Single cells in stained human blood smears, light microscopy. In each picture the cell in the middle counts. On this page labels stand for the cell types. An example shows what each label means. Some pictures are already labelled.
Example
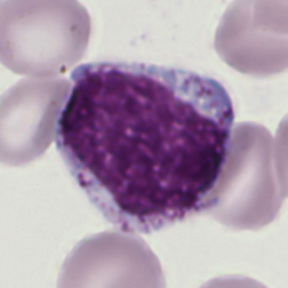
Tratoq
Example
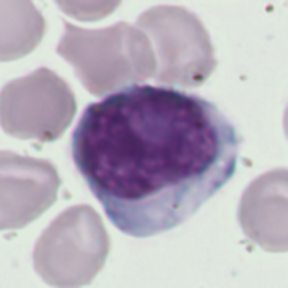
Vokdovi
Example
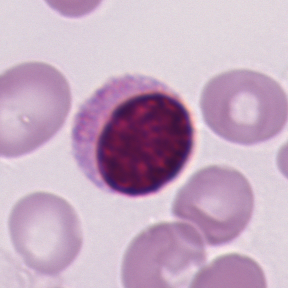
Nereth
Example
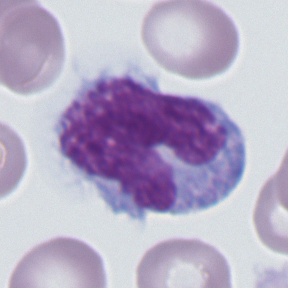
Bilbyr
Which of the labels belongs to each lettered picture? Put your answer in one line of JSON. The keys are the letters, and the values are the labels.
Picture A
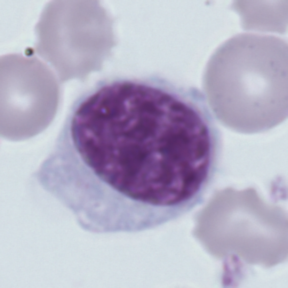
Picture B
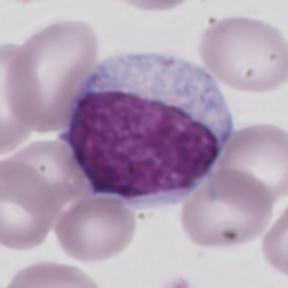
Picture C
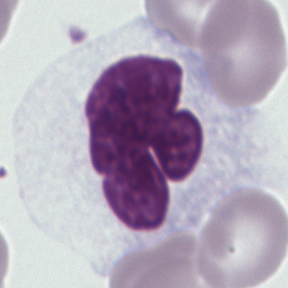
{"A": "Vokdovi", "B": "Tratoq", "C": "Bilbyr"}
